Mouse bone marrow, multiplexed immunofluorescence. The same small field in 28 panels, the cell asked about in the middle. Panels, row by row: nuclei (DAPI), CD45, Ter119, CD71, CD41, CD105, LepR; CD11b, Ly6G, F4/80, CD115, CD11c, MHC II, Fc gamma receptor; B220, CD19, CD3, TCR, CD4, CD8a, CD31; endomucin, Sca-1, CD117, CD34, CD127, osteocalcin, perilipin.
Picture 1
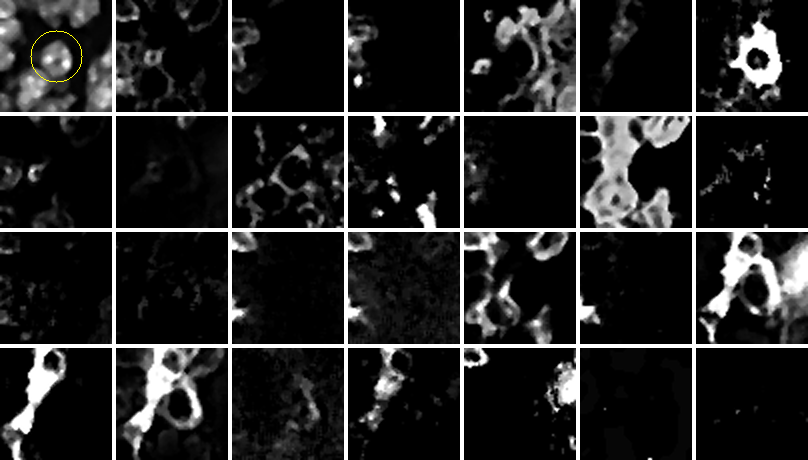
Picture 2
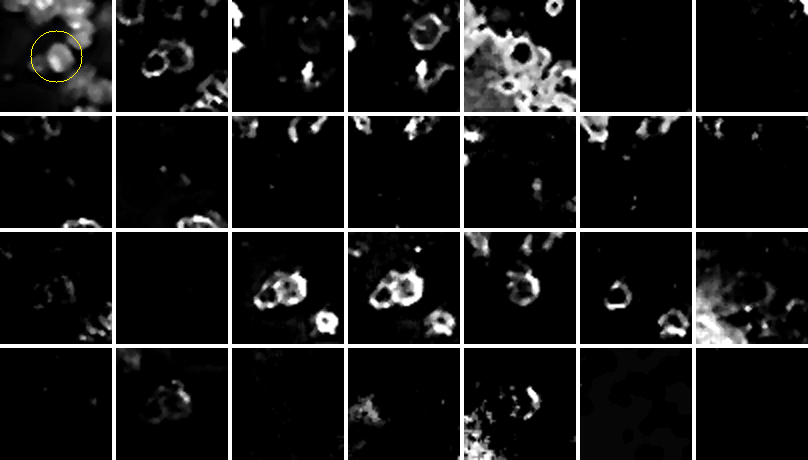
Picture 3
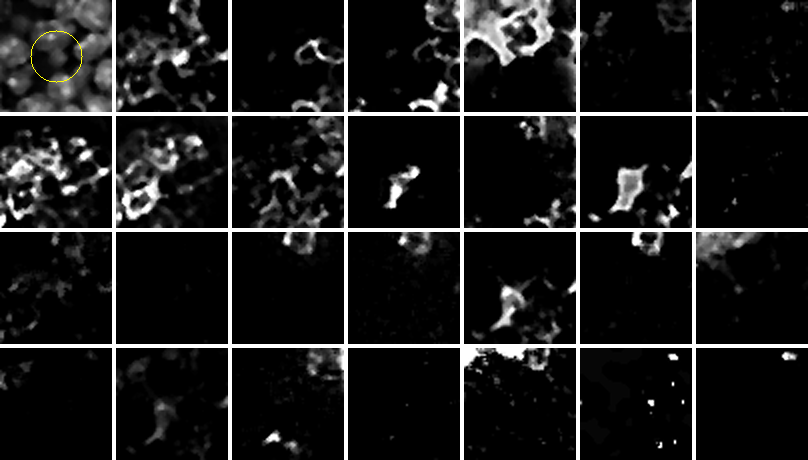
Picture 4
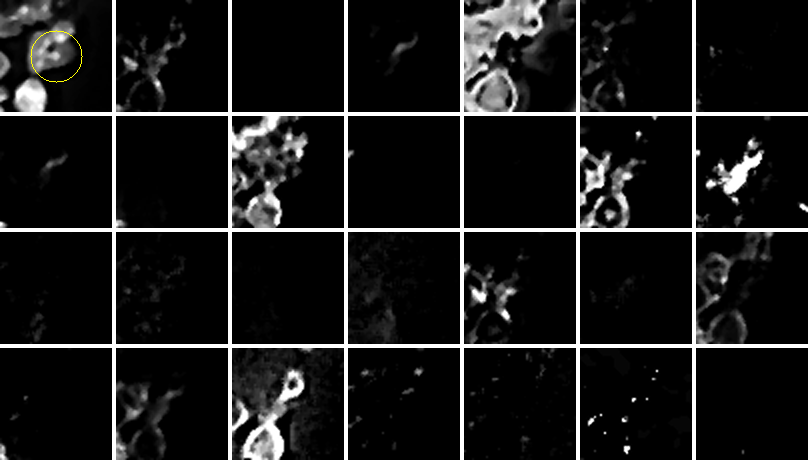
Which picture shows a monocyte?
Picture 3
